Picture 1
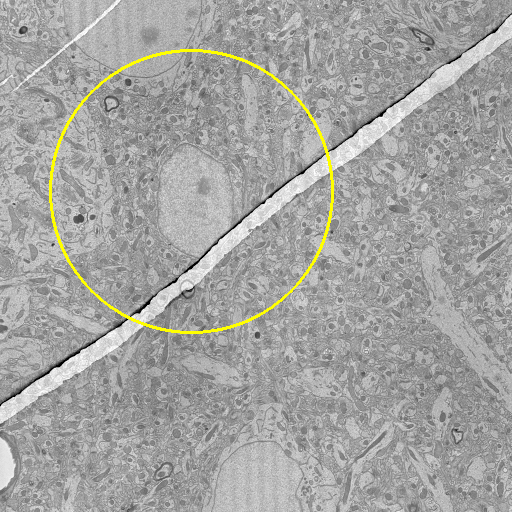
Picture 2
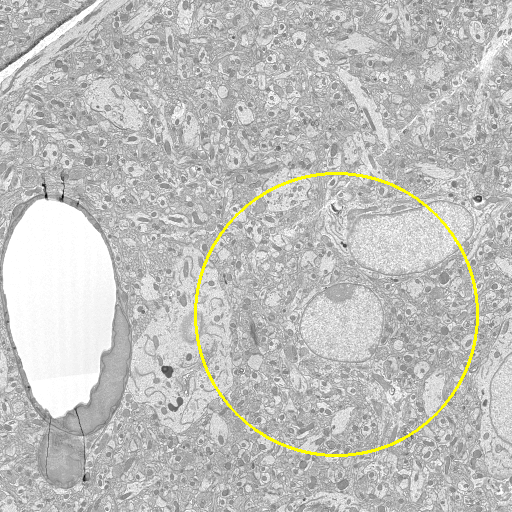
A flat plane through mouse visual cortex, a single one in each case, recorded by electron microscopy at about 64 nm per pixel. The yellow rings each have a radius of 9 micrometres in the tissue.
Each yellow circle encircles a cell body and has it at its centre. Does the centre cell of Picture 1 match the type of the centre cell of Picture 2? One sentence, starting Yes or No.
Yes, the cell centred in Picture 1 and the one in Picture 2 share a type.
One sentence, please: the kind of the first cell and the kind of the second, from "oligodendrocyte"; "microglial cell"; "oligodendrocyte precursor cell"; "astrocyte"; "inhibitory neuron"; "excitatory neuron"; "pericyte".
The ring centre holds an astrocyte in each of the two pictures.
